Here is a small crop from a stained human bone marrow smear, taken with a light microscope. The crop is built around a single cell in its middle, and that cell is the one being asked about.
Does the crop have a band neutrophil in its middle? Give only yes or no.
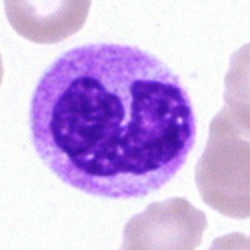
yes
